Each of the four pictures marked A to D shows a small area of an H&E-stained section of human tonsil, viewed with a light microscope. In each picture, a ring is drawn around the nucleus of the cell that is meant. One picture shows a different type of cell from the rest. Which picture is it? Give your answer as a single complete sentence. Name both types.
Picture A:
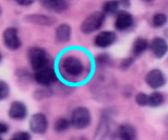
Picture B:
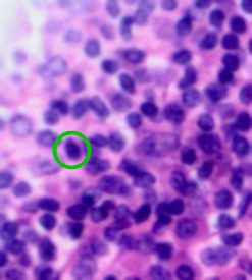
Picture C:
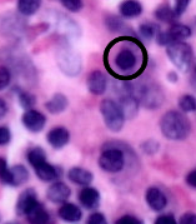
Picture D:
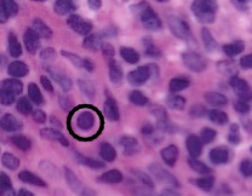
The others show endothelial cells, but picture B shows a small lymphocyte.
